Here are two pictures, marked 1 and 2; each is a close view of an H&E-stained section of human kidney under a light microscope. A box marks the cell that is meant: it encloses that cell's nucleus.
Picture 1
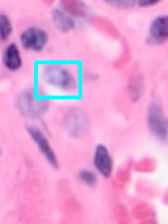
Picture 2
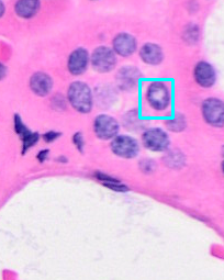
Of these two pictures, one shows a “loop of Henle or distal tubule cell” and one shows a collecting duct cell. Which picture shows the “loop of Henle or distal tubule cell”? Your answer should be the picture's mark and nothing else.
1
